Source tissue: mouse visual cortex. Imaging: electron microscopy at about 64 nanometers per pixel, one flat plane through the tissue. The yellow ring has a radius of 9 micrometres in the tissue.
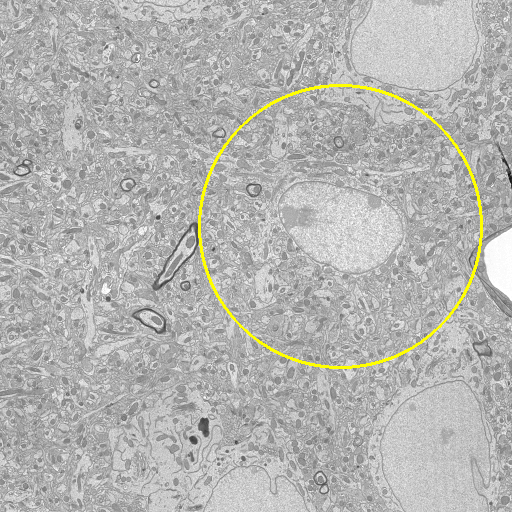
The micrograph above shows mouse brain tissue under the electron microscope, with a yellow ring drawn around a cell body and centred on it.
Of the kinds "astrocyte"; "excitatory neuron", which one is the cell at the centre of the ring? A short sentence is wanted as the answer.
The one at the centre of the ring is an astrocyte.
